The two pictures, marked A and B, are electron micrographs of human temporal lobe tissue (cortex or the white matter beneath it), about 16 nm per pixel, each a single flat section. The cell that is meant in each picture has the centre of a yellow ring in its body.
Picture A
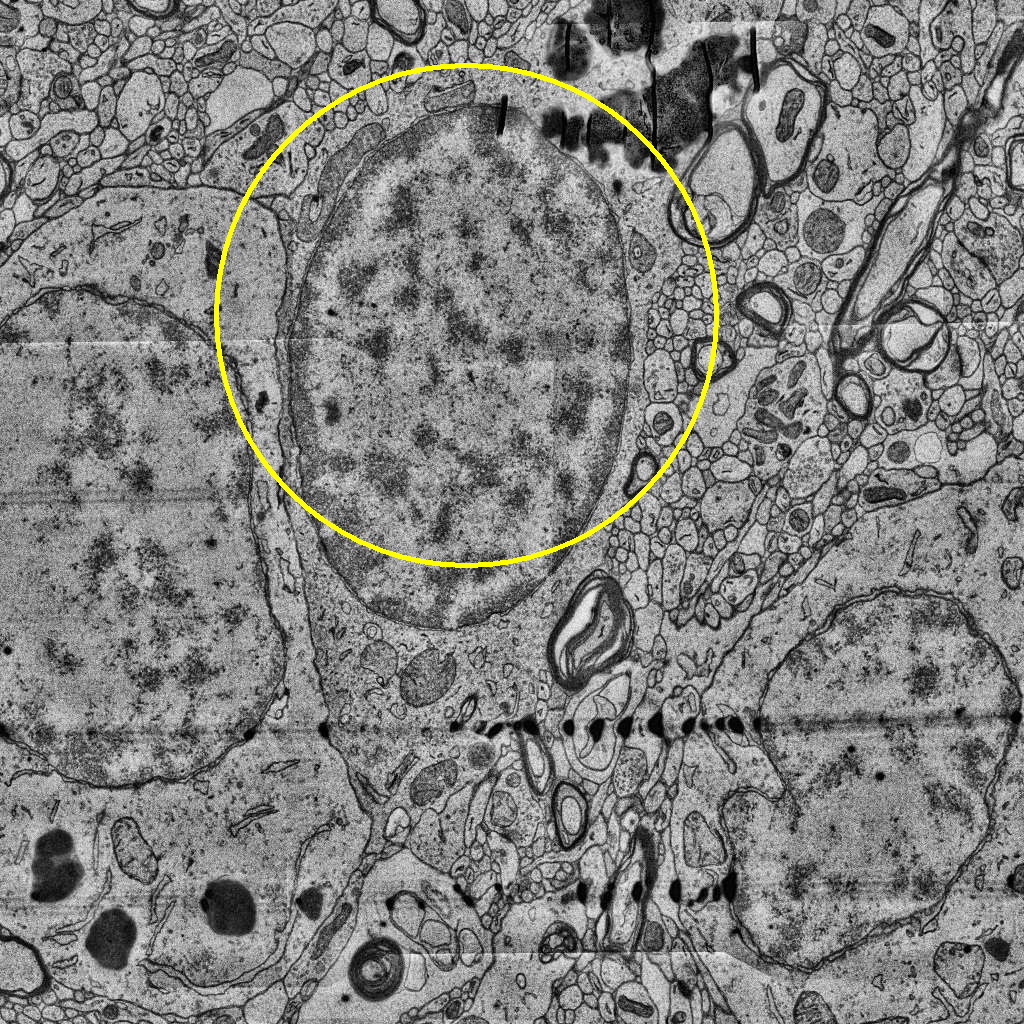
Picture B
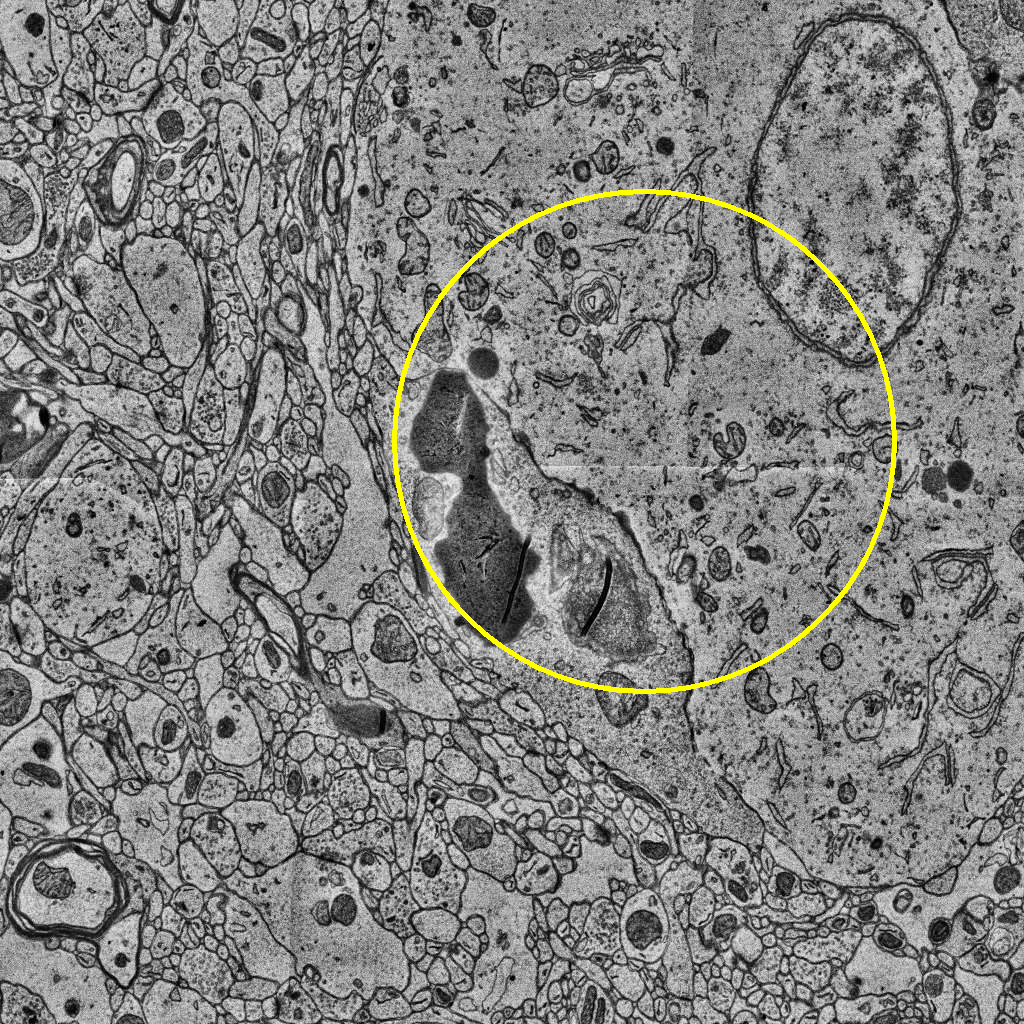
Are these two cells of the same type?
Yes; the cells in both pictures are oligodendrocytes.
